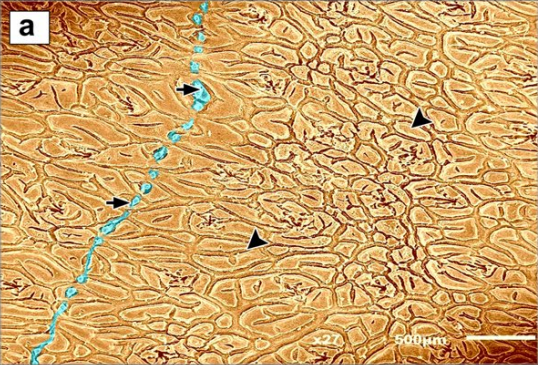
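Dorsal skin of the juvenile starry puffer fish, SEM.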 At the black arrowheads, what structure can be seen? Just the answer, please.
irregular-shaped protrusions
